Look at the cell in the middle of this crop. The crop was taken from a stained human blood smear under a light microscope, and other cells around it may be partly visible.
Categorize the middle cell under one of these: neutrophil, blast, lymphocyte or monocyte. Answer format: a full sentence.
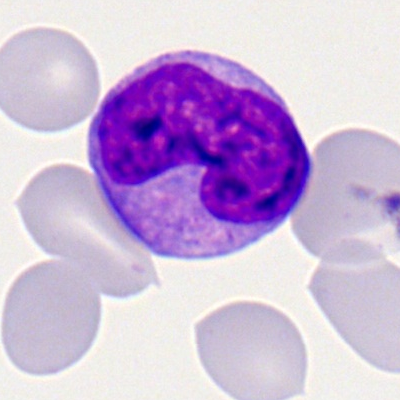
The cell under consideration, at the middle of the crop, is a monocyte.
